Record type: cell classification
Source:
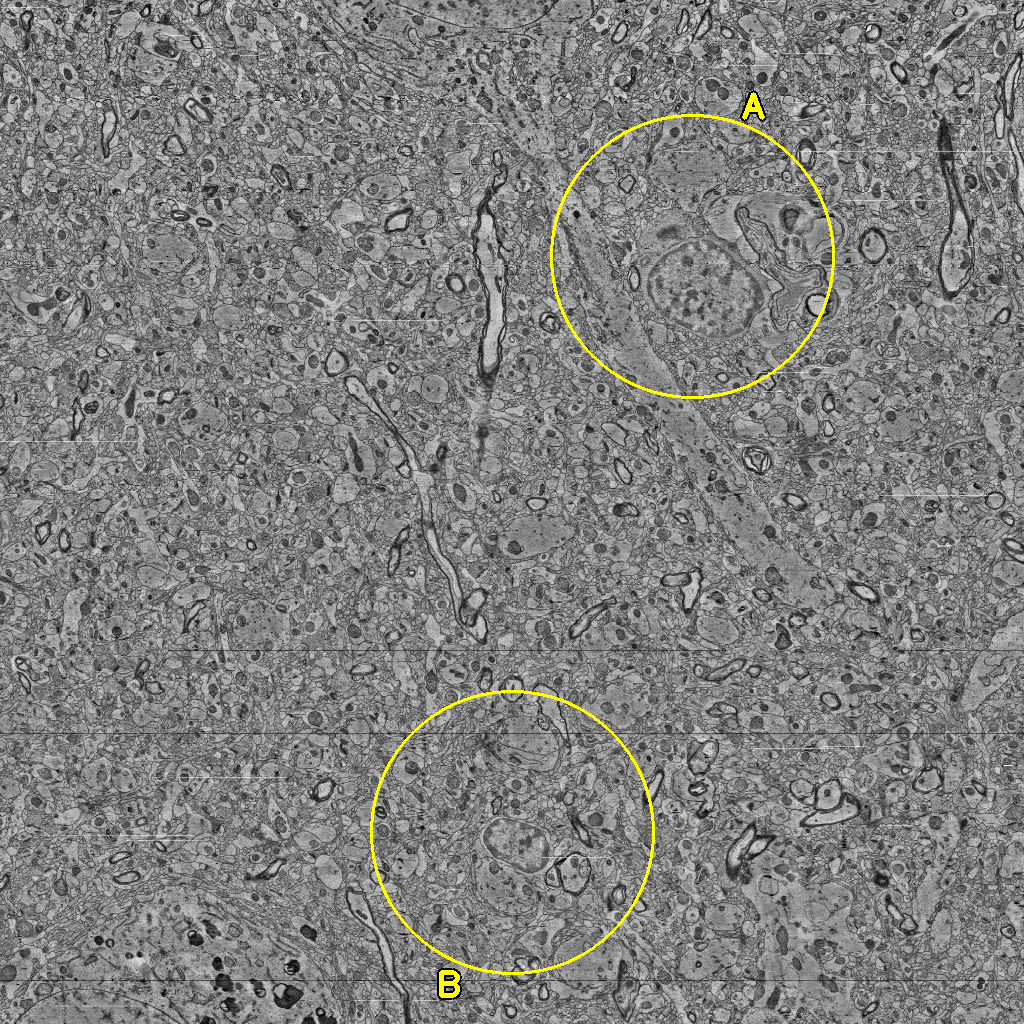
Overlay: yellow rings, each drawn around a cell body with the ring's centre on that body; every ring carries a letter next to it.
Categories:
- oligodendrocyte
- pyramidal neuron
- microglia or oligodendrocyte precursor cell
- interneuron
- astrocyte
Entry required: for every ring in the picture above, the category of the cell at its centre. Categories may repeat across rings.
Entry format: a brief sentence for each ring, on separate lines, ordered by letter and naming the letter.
At the centre of ring A lies an oligodendrocyte.
At the centre of ring B lies a microglial cell or oligodendrocyte precursor cell.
